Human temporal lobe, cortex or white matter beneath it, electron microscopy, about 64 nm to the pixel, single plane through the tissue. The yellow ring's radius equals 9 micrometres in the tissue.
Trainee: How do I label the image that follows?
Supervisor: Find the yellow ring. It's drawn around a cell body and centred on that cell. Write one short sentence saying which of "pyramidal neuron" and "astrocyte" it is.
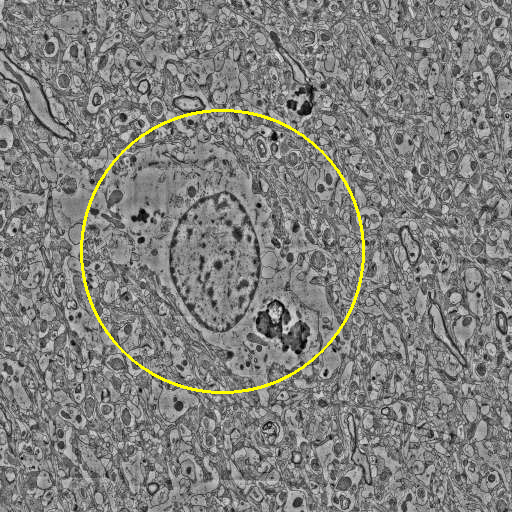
This is the cell body of an astrocyte.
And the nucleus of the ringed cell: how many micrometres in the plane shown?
In this plane, about 9 by 6 micrometres: the nucleus is clearly longer than it is wide.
